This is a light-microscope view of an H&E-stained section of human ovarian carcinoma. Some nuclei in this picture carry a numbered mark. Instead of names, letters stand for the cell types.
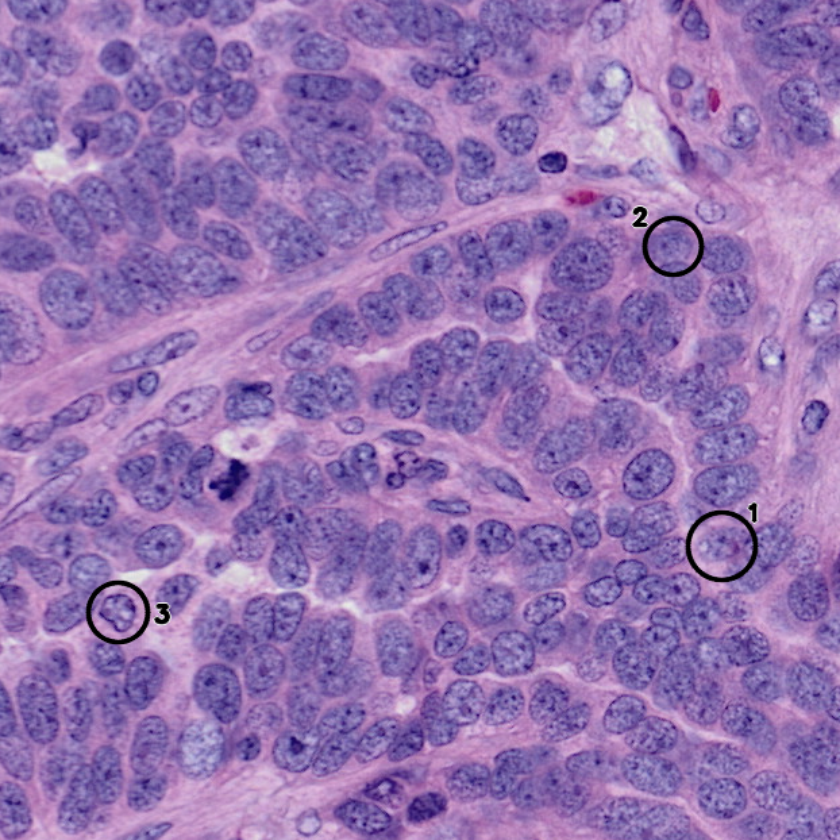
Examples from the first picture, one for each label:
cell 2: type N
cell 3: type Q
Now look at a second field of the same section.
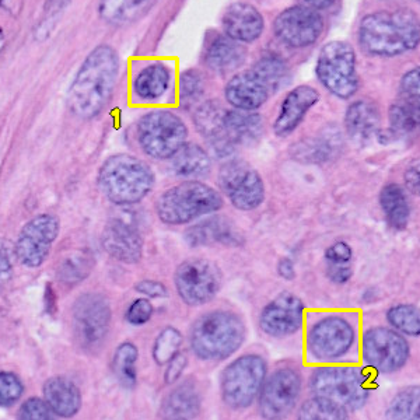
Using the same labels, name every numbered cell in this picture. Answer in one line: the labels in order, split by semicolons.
type Q; type N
